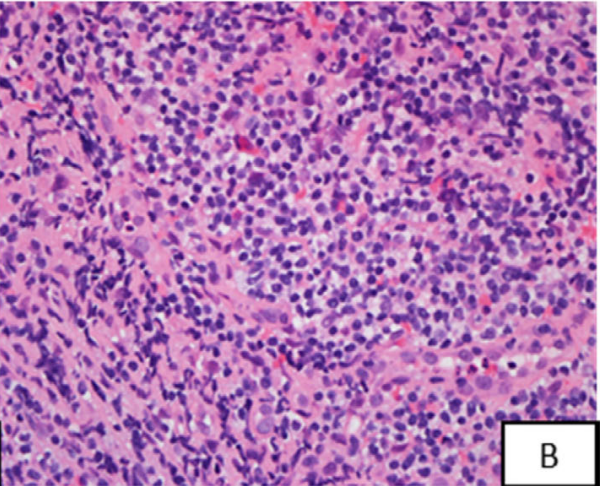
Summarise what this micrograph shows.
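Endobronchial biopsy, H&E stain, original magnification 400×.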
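This high-power view shows a dense infiltrate of lymphoid cells of small to medium size, packed in sheets. Their nuclei are round to slightly irregular and dark purple, and many cells have a modest rim of pale or clear pink cytoplasm, giving a monocytoid look. Thin pink strands of stroma and small vessels run between the crowded cells.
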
